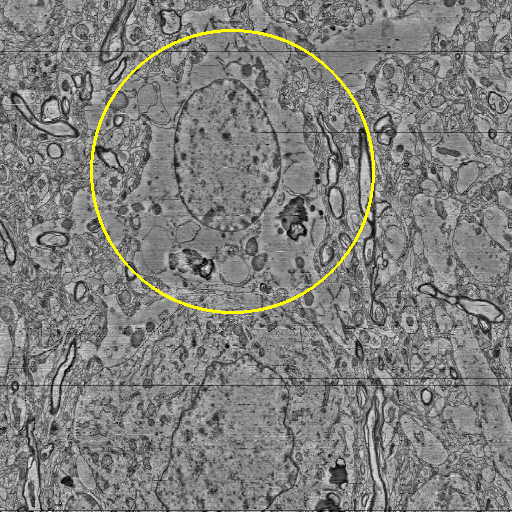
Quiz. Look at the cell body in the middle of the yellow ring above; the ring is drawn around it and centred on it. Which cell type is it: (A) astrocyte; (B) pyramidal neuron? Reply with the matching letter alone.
A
